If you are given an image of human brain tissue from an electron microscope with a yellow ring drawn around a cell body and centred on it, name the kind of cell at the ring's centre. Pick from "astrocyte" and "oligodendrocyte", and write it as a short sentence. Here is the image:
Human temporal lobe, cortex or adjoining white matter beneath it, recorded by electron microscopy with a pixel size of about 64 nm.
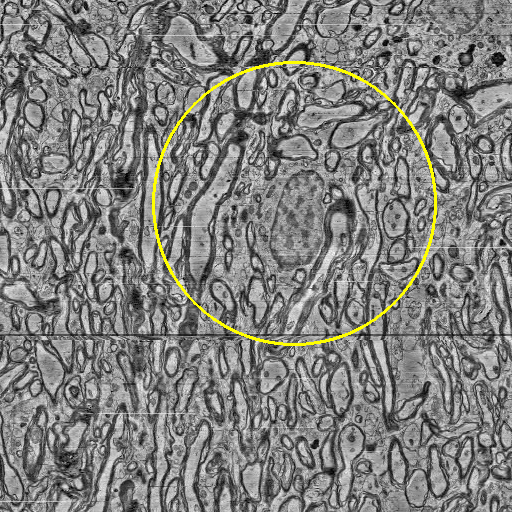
The cell at the ring's centre is an oligodendrocyte.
